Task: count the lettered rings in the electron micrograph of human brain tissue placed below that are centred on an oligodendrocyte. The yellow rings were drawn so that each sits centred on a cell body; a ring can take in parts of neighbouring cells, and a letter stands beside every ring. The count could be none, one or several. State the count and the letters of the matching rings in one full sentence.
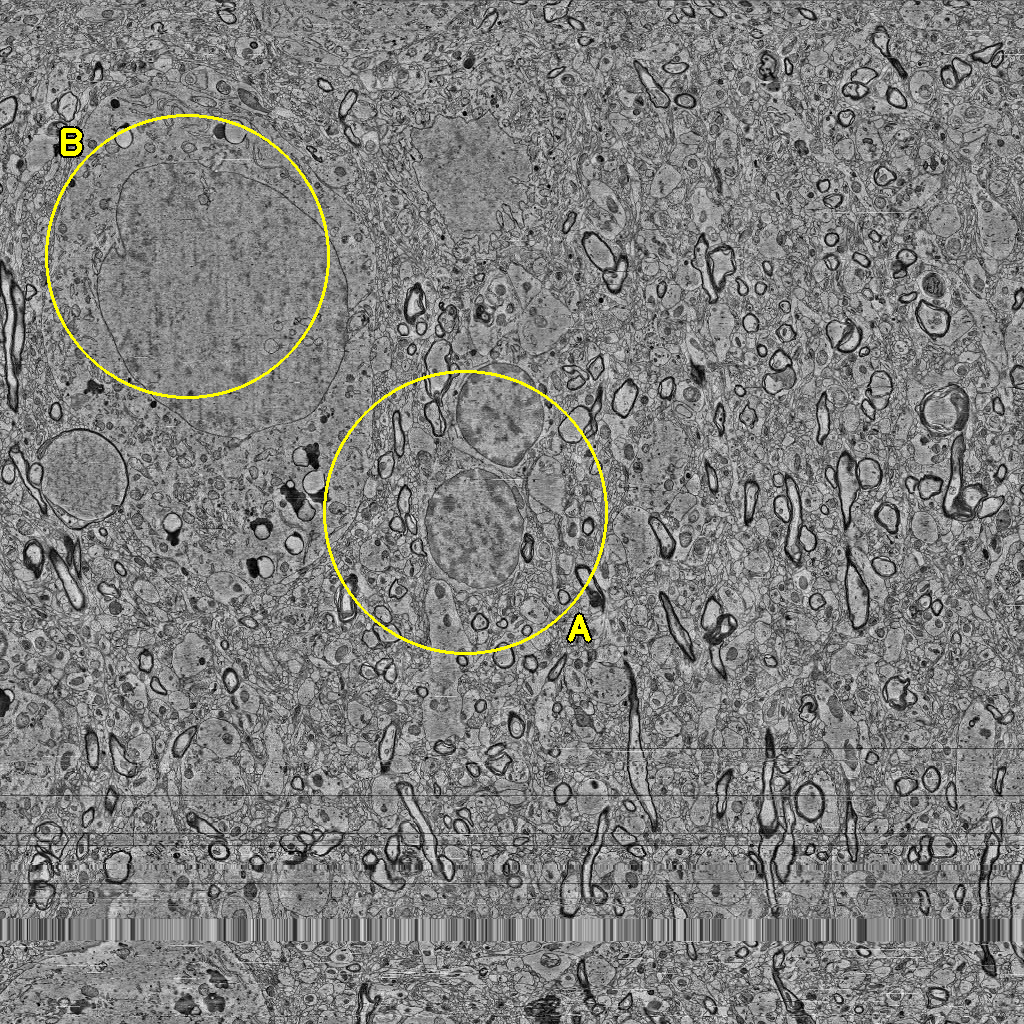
The ring labelled A stands alone as the one ring centred on an oligodendrocyte.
